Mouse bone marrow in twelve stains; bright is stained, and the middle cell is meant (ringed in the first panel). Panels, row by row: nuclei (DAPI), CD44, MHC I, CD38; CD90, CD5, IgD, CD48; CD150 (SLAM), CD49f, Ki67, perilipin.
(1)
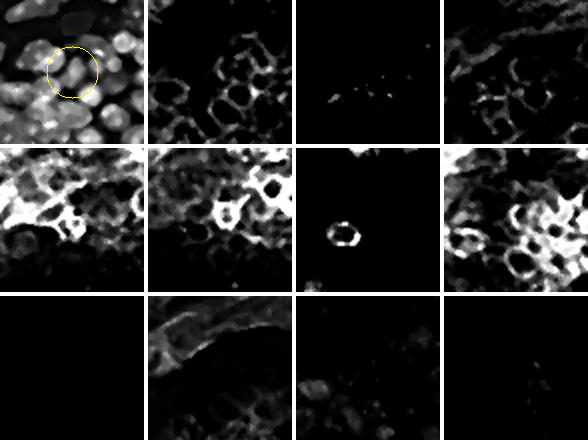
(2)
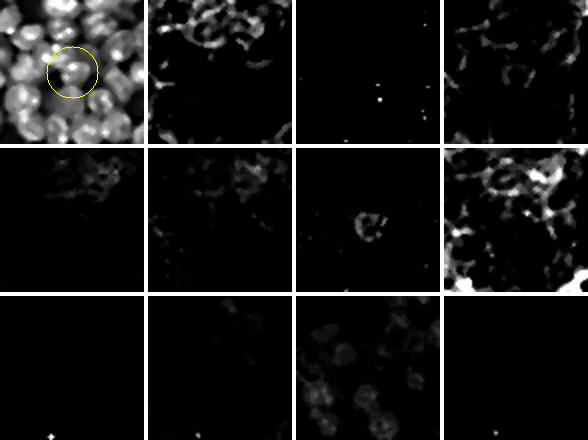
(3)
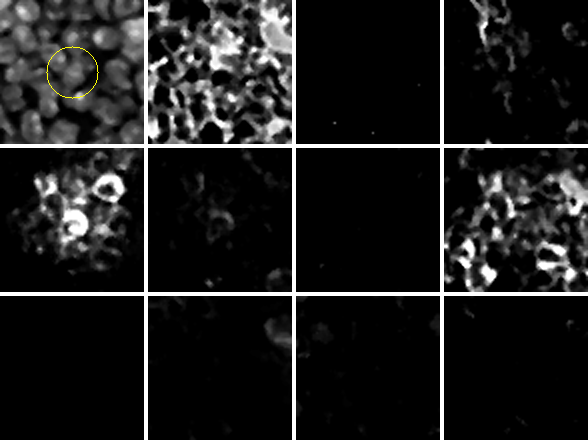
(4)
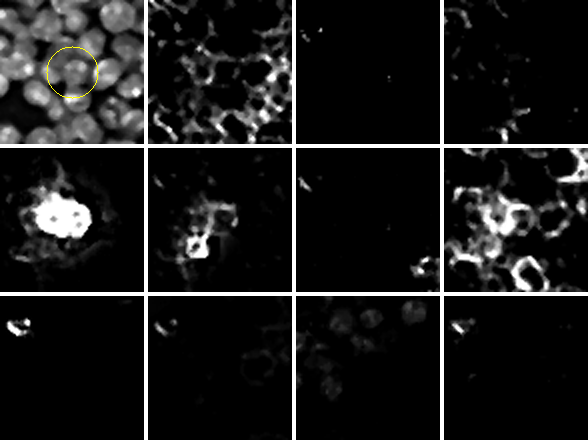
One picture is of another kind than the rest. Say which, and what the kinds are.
Picture 2 shows a B cell; the rest show T cells.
